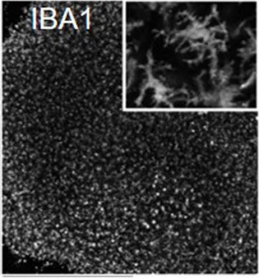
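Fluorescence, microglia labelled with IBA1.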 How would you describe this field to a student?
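Small bright cells are scattered evenly across the whole slice, each spaced apart from its neighbours like tiles. In the enlarged inset the cells have small bodies with several thin, branching processes reaching out in all directions.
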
